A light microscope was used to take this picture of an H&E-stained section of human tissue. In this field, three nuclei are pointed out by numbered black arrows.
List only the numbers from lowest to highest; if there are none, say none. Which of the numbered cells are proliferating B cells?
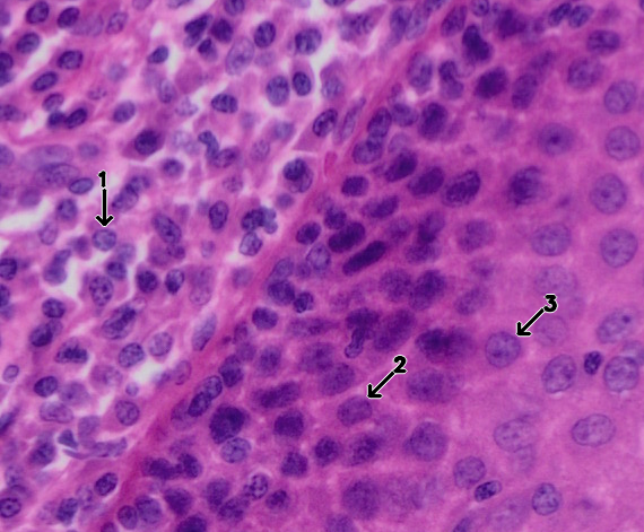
none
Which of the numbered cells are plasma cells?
1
